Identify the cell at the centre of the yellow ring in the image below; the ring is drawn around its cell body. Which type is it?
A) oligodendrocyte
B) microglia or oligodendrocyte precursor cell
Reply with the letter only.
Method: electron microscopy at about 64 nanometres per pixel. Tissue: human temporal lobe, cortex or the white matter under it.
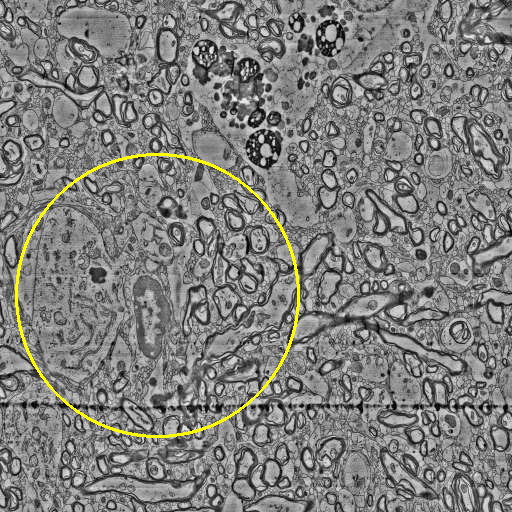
B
